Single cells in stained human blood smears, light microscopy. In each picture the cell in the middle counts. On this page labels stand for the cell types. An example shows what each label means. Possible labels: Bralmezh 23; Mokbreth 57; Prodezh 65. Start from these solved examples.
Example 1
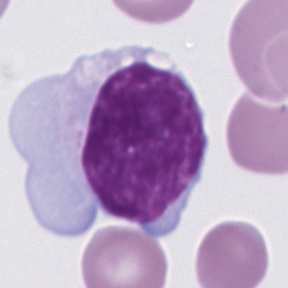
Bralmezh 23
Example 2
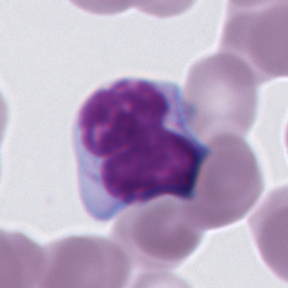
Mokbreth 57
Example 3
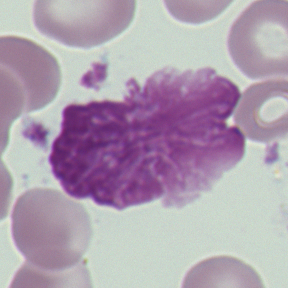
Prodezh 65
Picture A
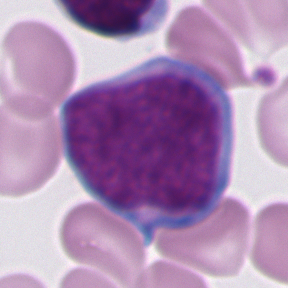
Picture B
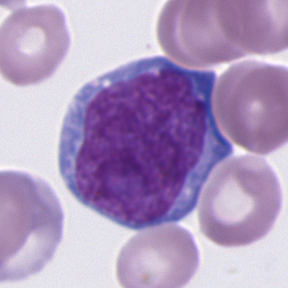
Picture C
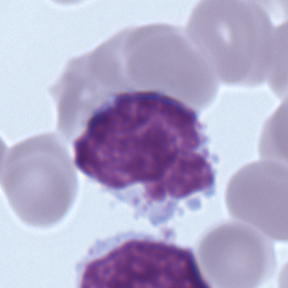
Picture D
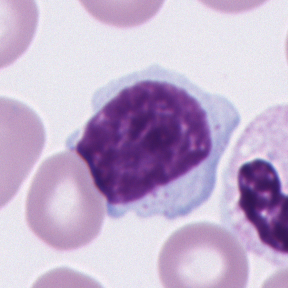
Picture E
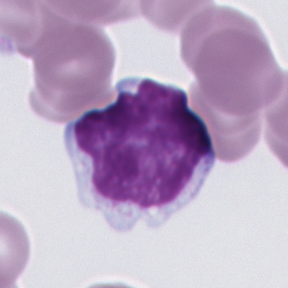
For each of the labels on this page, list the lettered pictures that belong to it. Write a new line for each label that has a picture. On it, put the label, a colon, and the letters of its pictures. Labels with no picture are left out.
Bralmezh 23: A, B
Mokbreth 57: C, D, E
